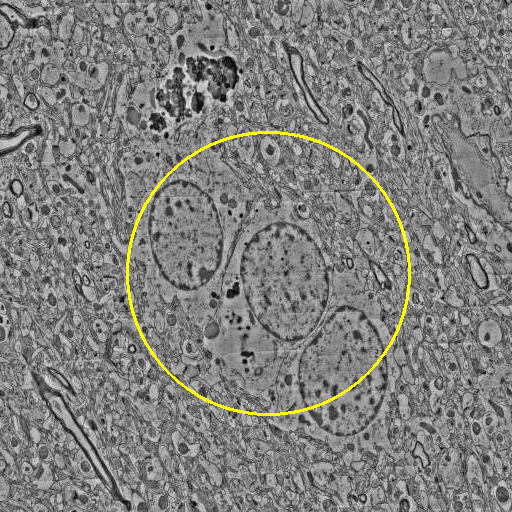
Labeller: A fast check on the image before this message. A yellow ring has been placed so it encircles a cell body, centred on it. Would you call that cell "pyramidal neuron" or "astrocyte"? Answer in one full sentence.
In this image, an astrocyte is the cell on which the yellow ring is centred.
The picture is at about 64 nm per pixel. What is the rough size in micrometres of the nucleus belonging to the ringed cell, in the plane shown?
Roughly 8 by 6 micrometres in this plane, for the nucleus of the ringed cell.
